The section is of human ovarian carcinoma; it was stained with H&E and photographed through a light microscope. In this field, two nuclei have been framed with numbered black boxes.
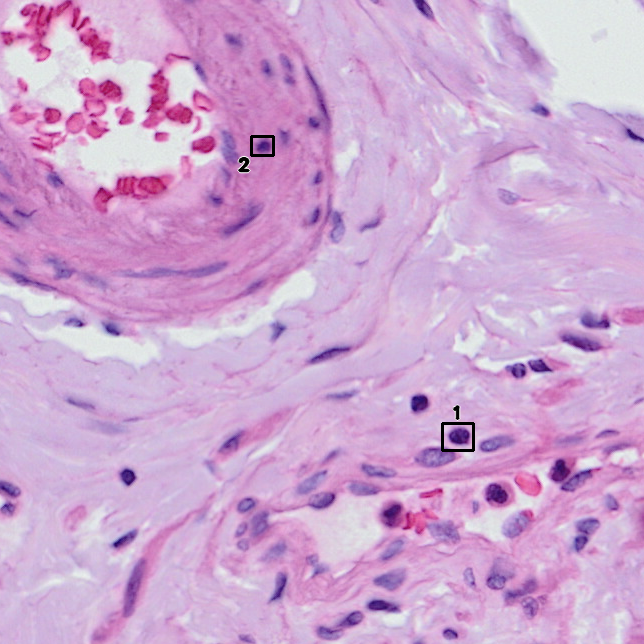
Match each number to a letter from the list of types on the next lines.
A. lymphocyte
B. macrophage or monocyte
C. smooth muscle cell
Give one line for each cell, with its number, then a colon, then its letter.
1: A
2: C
